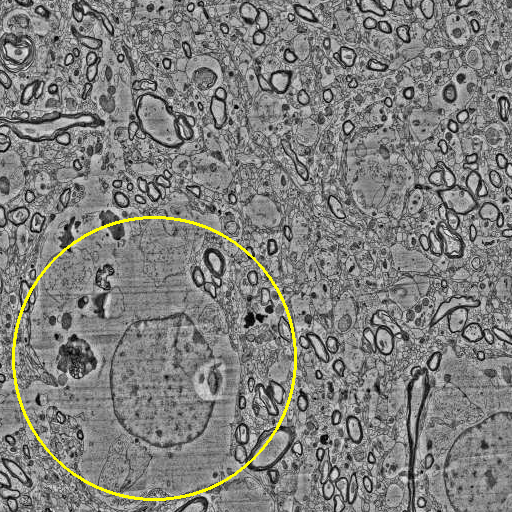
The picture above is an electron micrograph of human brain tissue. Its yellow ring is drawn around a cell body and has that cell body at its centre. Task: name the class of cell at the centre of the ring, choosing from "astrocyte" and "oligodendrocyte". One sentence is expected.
The ring surrounds the body of an astrocyte.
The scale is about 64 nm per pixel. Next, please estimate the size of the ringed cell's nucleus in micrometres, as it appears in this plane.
In this plane the nucleus measures roughly 8 by 7 micrometres.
